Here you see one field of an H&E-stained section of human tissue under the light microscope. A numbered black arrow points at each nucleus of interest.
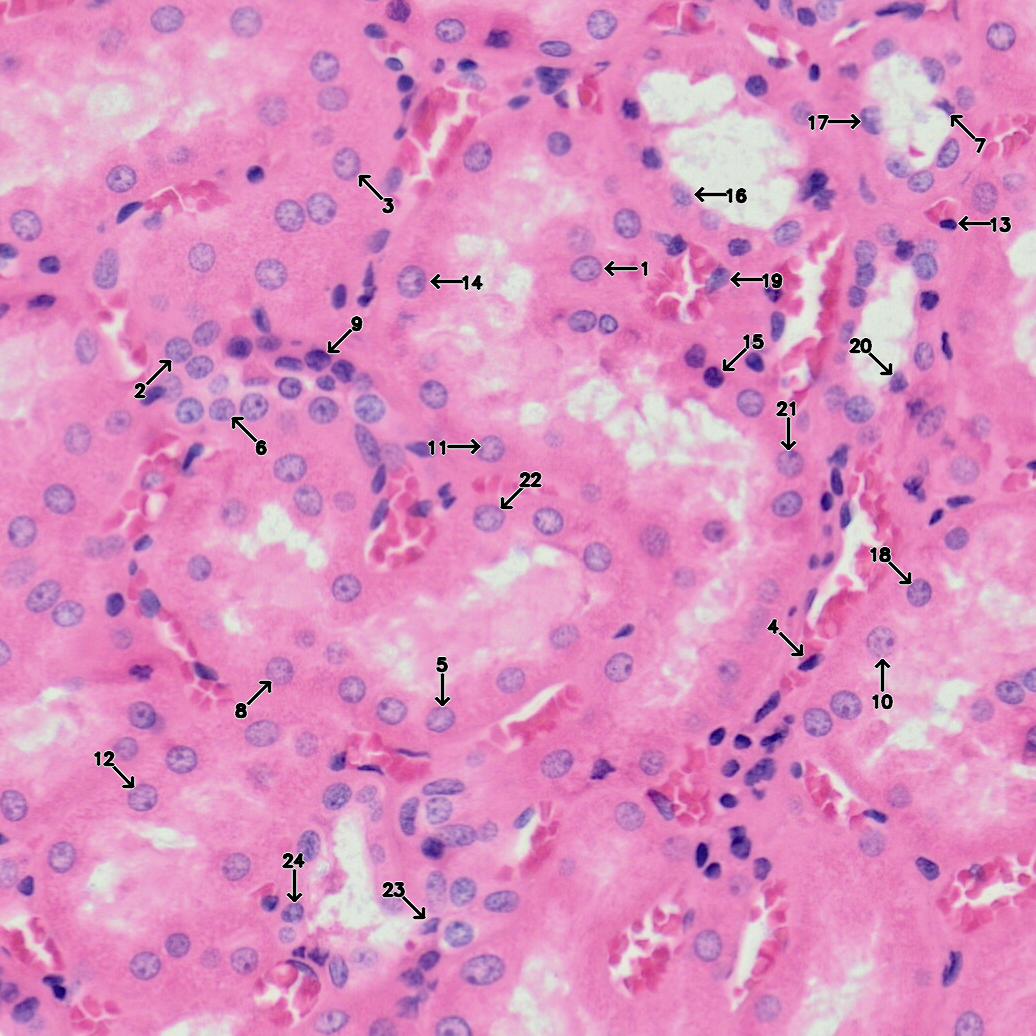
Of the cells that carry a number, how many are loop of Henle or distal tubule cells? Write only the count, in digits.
4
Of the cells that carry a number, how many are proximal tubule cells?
12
